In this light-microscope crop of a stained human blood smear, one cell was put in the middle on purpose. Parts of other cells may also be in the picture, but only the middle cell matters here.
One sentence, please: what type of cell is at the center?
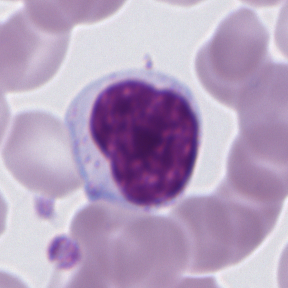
The middle position in this crop is taken by a large granular lymphocyte.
